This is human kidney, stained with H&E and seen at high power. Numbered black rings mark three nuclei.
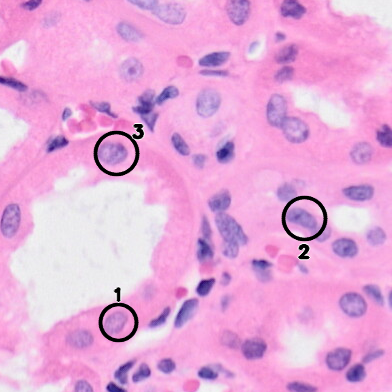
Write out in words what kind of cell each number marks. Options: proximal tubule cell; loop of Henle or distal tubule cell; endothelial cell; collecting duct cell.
Cells 1 and 3 are proximal tubule cells. Cell 2 is a collecting duct cell.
